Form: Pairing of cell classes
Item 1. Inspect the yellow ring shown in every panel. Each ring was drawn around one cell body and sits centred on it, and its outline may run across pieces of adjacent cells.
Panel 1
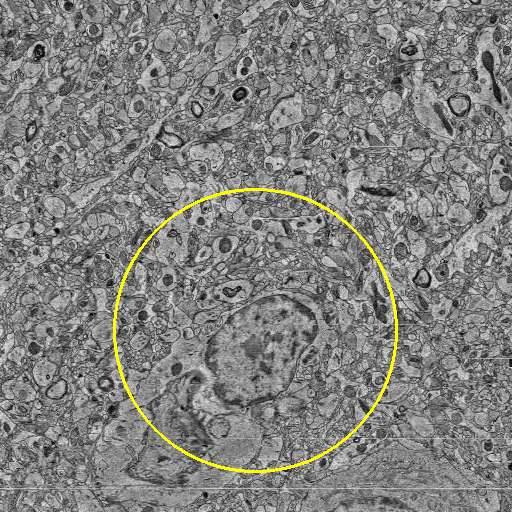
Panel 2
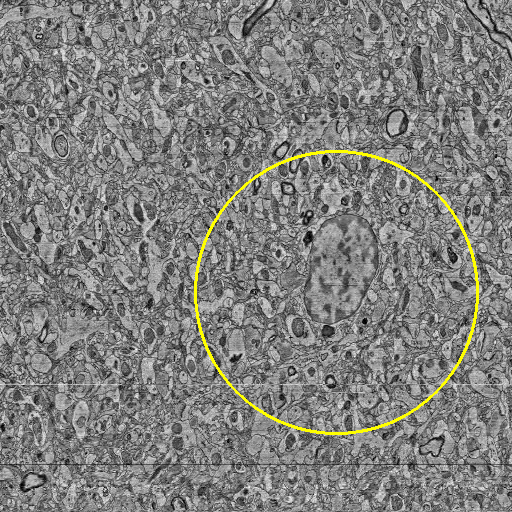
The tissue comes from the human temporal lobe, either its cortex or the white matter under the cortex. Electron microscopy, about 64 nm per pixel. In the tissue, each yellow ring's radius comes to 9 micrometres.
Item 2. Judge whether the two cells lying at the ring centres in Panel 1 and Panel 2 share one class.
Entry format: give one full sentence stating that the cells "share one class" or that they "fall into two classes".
The cells at the ring centres in Panel 1 and Panel 2 share one class.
